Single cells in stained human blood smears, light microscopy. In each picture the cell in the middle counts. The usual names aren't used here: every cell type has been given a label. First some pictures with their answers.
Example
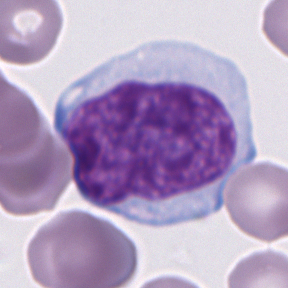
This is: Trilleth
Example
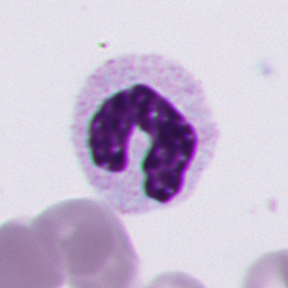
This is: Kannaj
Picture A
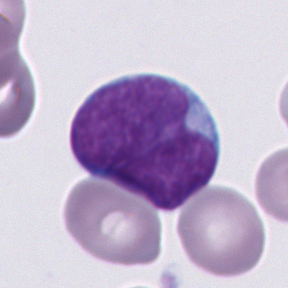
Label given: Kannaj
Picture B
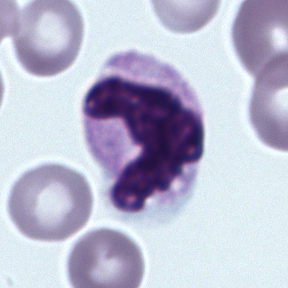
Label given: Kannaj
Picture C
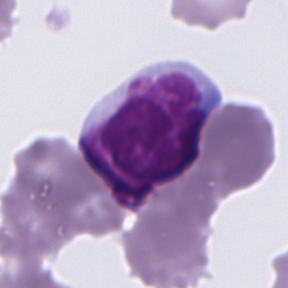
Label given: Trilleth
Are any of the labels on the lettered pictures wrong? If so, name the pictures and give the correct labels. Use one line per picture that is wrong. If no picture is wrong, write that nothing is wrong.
A: Trilleth, not Kannaj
